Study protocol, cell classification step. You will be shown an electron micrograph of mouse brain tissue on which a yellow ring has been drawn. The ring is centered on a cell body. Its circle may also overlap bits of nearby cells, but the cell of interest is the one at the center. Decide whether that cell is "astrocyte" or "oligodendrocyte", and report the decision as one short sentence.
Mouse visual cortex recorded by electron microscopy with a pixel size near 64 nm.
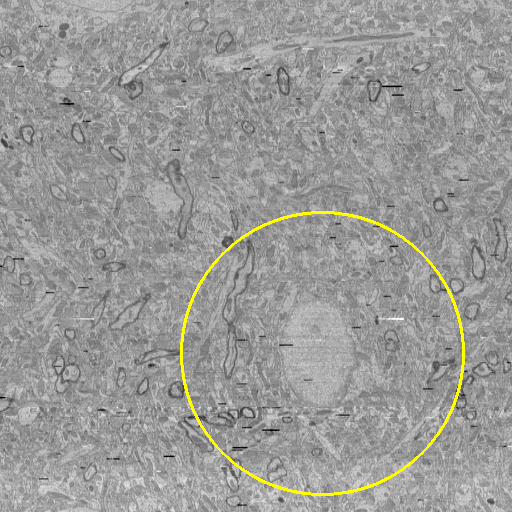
The marked cell is an astrocyte.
